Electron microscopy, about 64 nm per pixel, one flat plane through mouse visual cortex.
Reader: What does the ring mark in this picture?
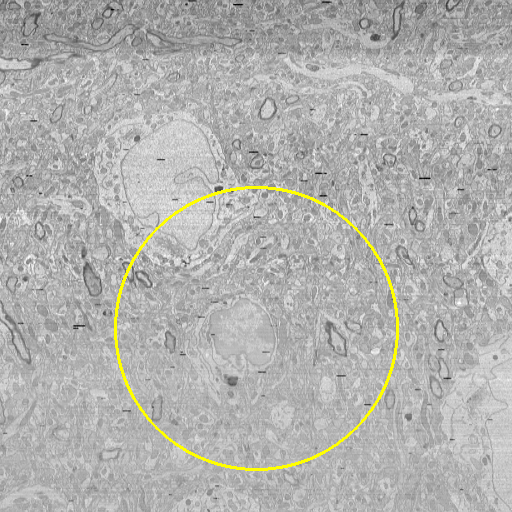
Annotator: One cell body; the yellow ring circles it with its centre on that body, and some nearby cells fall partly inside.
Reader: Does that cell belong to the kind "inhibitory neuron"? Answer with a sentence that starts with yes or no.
No, the cell at the ring's centre in this picture is of another kind.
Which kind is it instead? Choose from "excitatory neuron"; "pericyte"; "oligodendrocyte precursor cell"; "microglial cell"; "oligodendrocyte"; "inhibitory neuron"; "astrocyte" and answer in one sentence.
The cell in question here is a microglial cell.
